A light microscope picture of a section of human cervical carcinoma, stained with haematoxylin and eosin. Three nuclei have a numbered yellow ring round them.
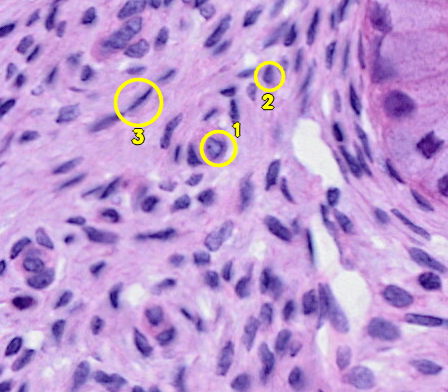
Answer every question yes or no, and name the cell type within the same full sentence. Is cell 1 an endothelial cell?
Yes, the cell tagged with number 1 is an endothelial cell.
